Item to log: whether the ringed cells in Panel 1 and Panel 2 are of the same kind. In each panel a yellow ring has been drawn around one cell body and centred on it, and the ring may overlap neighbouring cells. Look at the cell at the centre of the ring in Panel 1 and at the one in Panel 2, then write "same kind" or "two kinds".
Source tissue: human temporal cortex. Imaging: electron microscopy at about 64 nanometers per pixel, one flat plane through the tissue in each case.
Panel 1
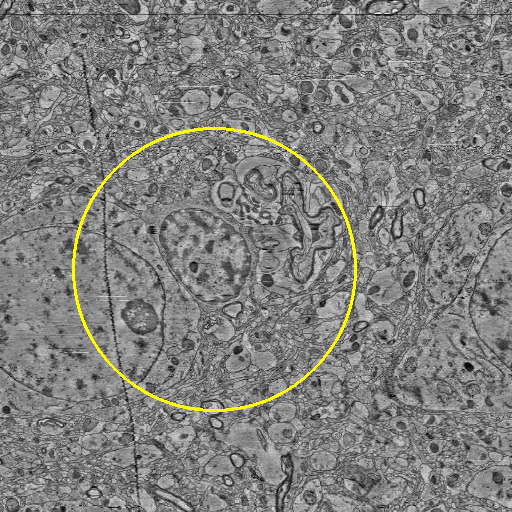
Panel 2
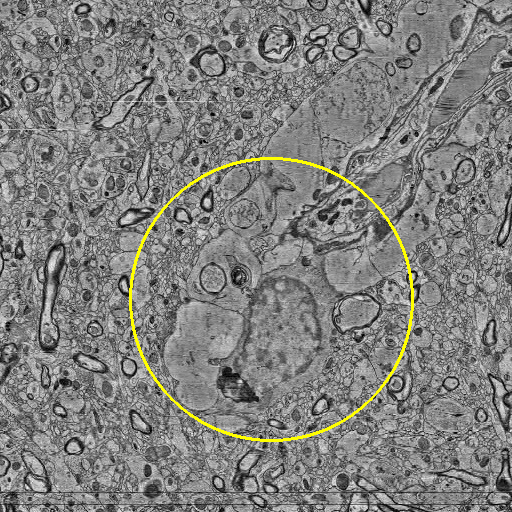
same kind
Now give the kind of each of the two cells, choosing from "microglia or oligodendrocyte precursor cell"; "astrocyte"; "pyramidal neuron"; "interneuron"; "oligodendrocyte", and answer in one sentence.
Each cell, in the first picture and the second, is an oligodendrocyte.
